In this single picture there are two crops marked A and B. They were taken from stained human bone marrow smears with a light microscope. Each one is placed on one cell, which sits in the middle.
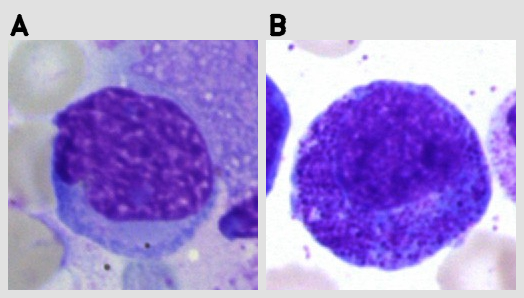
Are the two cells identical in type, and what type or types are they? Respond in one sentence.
No, a blast occupies the middle of crop A, and a promyelocyte the middle of crop B.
